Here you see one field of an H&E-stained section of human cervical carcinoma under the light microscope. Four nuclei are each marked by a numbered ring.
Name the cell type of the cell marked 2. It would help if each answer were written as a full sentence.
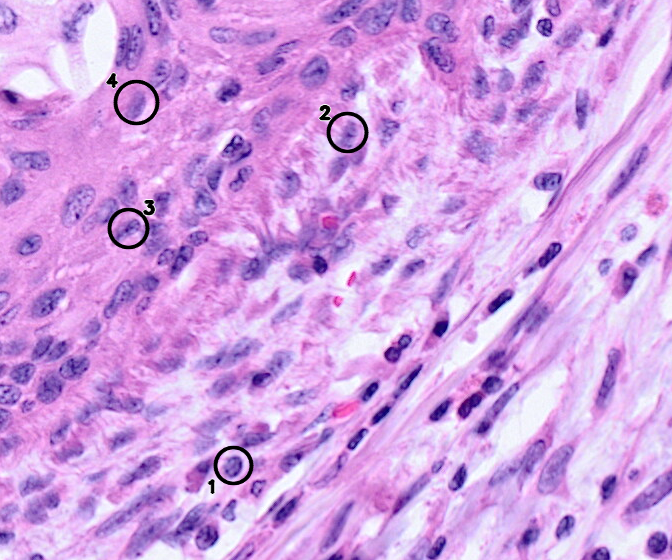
Cell 2 is classified as a fibroblast.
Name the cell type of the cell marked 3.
The mark numbered 3 indicates the nucleus of a squamous carcinoma cell.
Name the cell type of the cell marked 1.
The cell pointed out as number 1 is a lymphocyte.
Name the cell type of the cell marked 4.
Within this field of view, the cell labelled 4 is a squamous carcinoma cell.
